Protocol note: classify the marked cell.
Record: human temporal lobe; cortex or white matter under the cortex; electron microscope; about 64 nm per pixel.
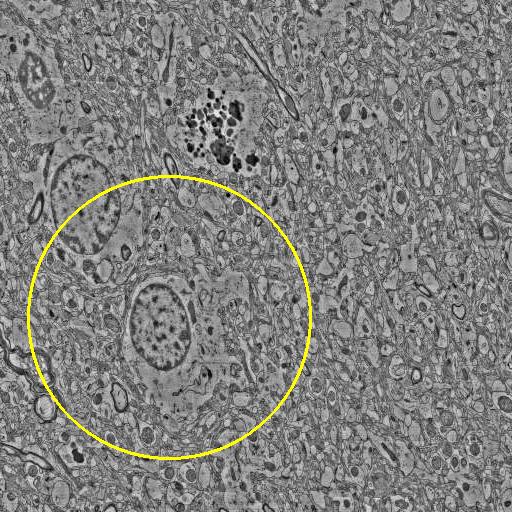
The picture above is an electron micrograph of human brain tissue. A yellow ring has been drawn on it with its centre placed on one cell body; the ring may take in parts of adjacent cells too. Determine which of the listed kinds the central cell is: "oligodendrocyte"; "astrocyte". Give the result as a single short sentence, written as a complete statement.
The central cell is an astrocyte.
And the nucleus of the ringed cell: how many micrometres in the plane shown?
In this plane the nucleus spans approximately 5 by 4 micrometers.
